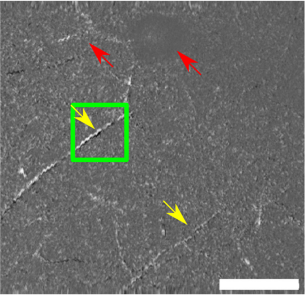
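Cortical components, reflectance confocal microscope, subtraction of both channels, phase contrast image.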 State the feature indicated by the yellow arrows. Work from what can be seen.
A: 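Myelinated axons. The lines run long distances across an otherwise even grey background.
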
